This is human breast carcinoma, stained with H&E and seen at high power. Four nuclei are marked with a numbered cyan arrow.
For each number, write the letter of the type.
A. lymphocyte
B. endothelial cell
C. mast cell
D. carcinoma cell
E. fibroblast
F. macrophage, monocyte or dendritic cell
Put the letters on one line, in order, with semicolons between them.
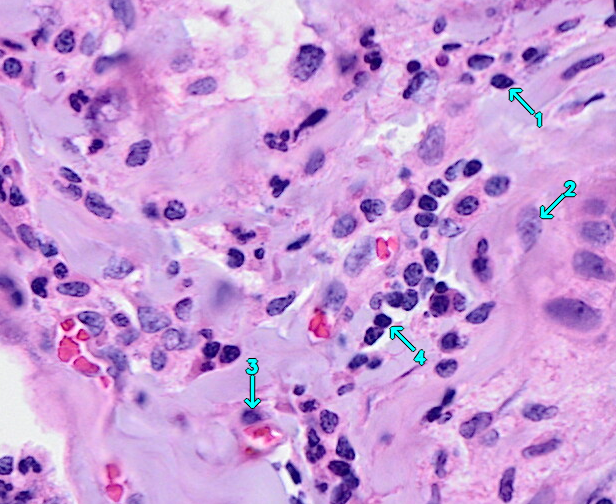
A; E; B; A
